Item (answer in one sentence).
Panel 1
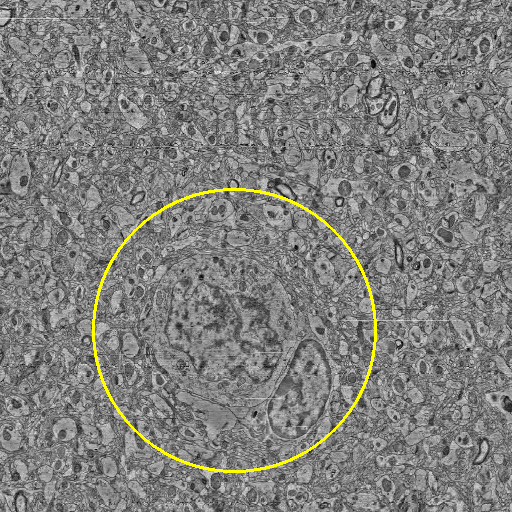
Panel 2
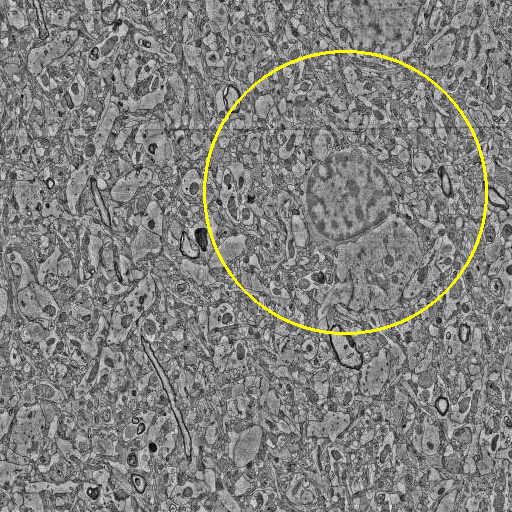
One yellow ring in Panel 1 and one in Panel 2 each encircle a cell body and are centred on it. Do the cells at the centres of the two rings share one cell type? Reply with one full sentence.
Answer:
No, Panel 1 and Panel 2 show cells of two types at the centres of their rings.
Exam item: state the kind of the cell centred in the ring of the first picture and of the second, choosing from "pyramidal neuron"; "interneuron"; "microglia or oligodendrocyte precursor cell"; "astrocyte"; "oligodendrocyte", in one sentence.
The first picture shows an interneuron at the ring centre and the second shows an oligodendrocyte.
